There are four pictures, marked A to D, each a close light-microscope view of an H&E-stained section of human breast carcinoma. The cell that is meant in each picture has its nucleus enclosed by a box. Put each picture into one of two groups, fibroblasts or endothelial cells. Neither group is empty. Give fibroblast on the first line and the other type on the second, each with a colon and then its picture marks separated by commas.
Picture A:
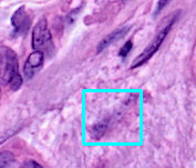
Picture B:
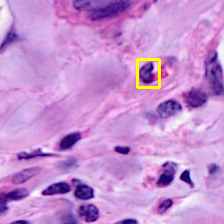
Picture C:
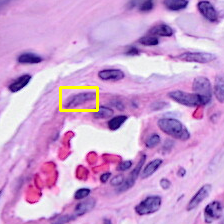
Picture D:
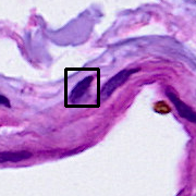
fibroblast: A, D
endothelial cell: B, C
